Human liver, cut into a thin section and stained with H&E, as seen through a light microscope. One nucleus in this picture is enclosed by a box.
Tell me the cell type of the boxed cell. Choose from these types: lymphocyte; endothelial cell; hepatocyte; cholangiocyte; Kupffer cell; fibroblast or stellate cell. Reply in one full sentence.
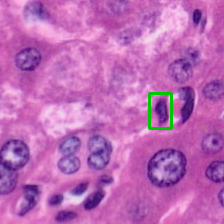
In the stained section, the boxed cell is a fibroblast or stellate cell.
